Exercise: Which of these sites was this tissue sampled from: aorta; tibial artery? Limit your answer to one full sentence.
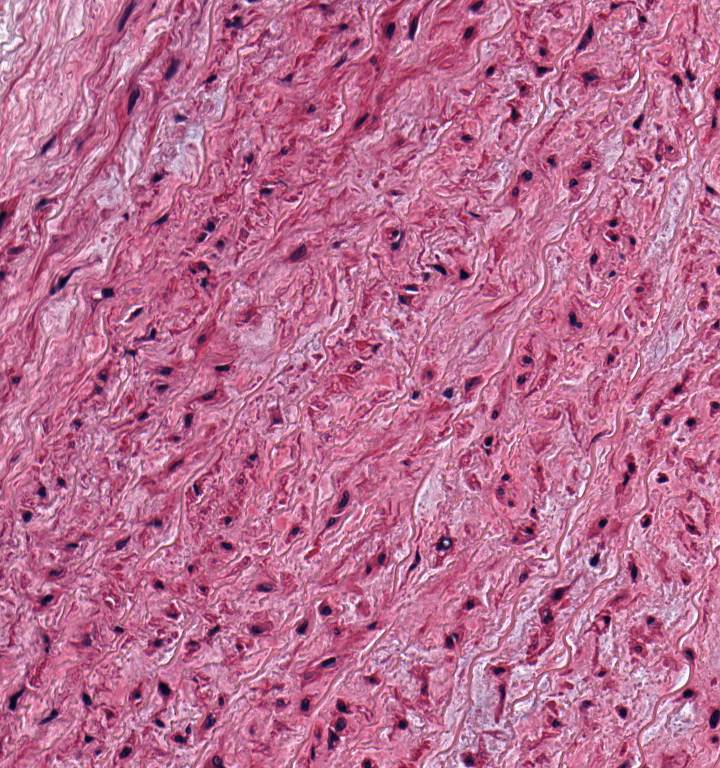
The section was made from a sample of the aorta.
